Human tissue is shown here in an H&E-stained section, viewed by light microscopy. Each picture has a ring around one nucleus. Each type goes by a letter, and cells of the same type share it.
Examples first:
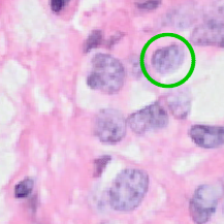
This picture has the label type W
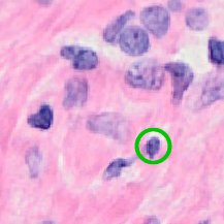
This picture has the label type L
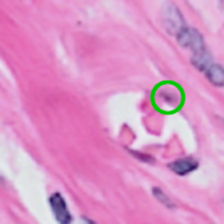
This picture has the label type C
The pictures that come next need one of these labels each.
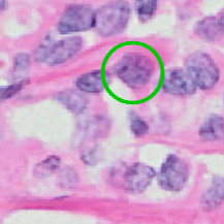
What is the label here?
type W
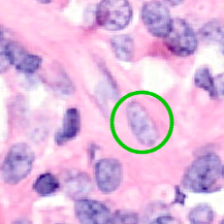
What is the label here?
type C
